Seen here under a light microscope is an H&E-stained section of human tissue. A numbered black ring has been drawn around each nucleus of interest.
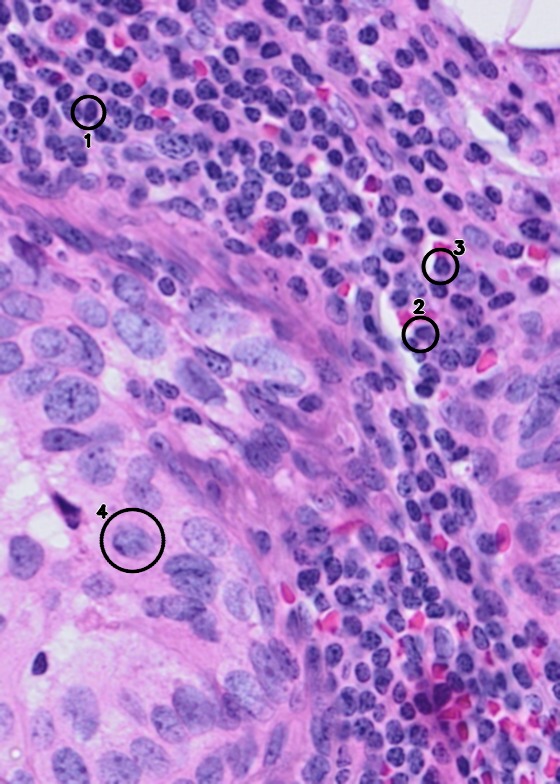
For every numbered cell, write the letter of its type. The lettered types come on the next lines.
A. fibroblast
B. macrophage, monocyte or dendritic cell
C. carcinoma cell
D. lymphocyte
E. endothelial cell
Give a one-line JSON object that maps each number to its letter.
{"1": "D", "2": "D", "3": "D", "4": "C"}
